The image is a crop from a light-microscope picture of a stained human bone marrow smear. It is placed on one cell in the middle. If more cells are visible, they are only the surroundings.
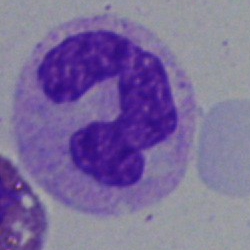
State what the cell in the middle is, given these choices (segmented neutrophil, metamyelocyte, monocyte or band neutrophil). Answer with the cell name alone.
band neutrophil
